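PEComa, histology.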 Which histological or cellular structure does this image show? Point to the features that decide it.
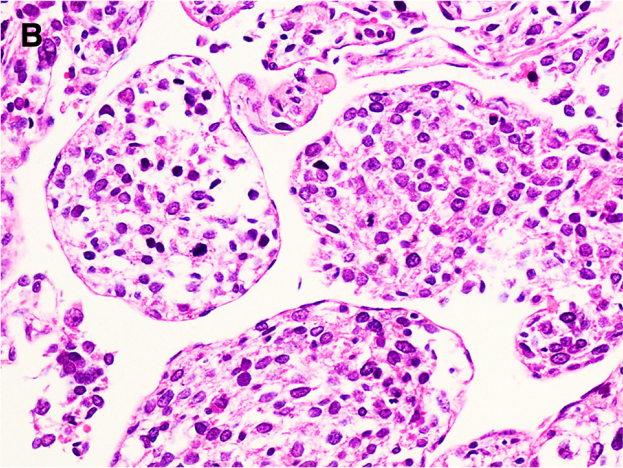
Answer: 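Sinusoidal-type vasculature. Rounded tumor cell clusters are surrounded by open clear spaces. Thin endothelial lining wraps each cluster.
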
